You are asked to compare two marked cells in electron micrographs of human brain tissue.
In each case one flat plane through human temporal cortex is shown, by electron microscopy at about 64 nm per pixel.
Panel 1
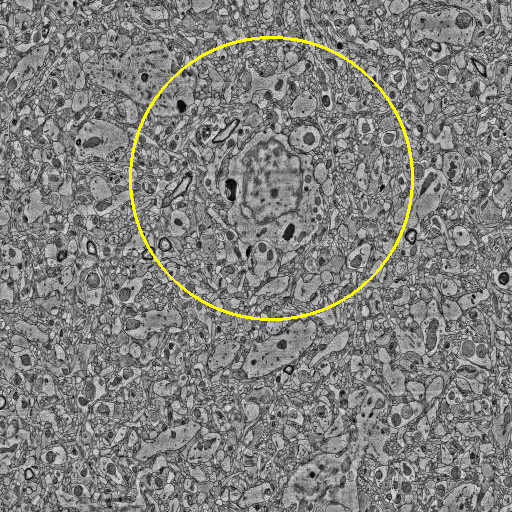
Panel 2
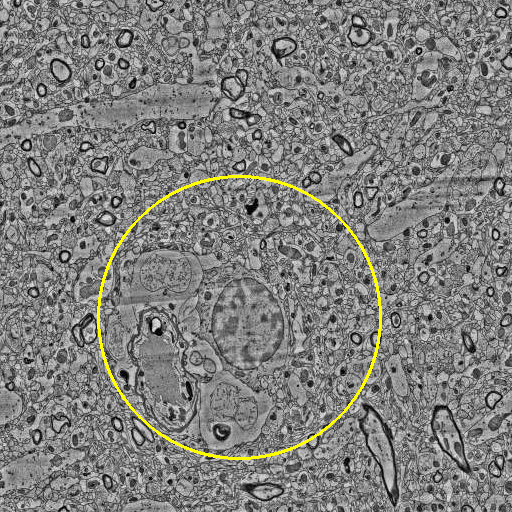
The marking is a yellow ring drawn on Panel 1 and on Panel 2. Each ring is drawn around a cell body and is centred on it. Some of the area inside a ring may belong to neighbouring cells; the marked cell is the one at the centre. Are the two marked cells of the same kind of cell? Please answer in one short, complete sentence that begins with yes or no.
No, the two marked cells are of two kinds.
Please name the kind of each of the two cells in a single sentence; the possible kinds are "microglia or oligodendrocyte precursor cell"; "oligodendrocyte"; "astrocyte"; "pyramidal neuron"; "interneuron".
In the first picture the ring is centred on an interneuron, and in the second on an oligodendrocyte.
